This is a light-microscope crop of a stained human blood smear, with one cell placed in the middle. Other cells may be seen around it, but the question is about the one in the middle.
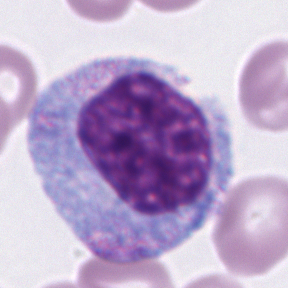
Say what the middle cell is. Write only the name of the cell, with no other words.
promyelocyte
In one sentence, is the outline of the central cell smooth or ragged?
The edge of the cell is broken up by ragged stretches or by outward projections.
